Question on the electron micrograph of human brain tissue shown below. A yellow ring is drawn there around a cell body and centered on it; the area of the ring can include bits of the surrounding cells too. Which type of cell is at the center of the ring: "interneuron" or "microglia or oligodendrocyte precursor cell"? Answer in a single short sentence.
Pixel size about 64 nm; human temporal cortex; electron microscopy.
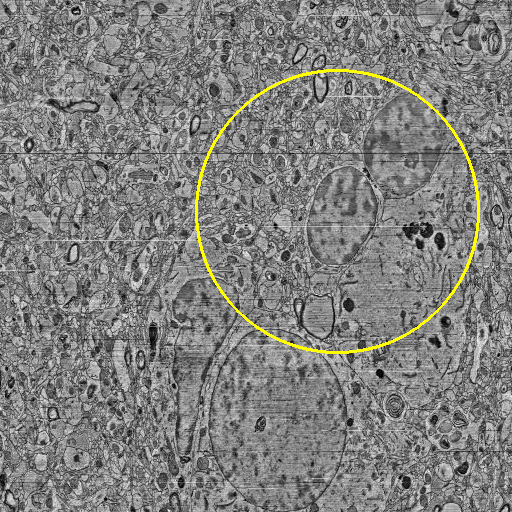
The ring is centered on a microglial cell or oligodendrocyte precursor cell.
